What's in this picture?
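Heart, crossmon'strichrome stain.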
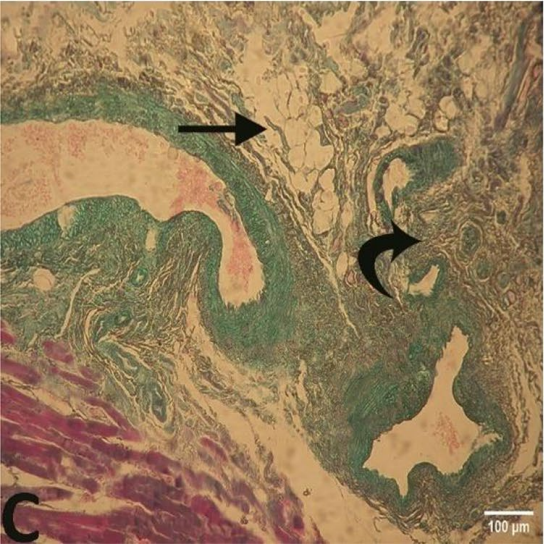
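A cluster of large, clear fat cells with thin walls lies beside them. Red-purple muscle fibres show only at the lower left corner.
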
